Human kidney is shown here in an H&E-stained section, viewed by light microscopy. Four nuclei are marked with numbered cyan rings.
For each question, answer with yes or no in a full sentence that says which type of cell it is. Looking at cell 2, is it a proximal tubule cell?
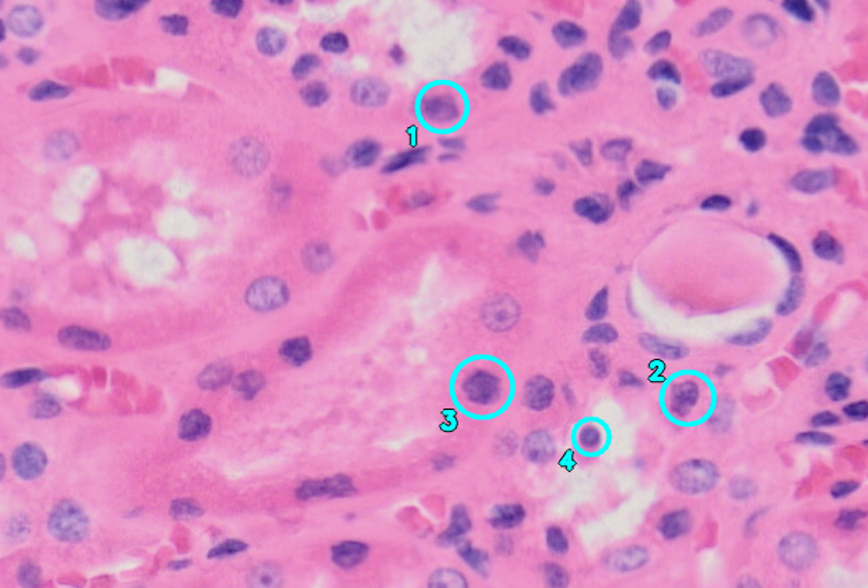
No, the cell numbered 2 is a loop of Henle or distal tubule cell rather than a proximal tubule cell.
